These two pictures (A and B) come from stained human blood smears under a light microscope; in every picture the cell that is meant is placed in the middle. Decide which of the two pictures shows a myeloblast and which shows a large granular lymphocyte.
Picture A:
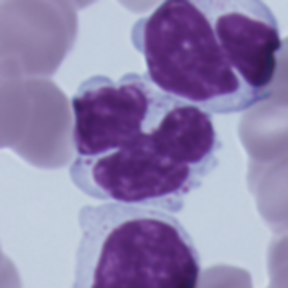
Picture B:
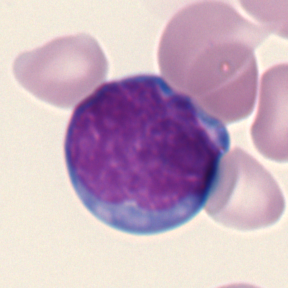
A: large granular lymphocyte
B: myeloblast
